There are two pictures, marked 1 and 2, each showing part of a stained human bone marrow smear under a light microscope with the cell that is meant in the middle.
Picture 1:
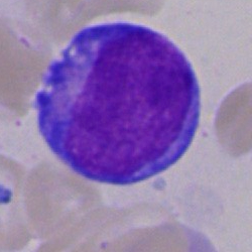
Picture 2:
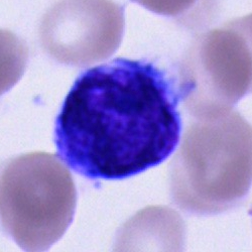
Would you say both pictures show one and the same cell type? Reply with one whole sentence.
Yes, they are the same type: both are blasts.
